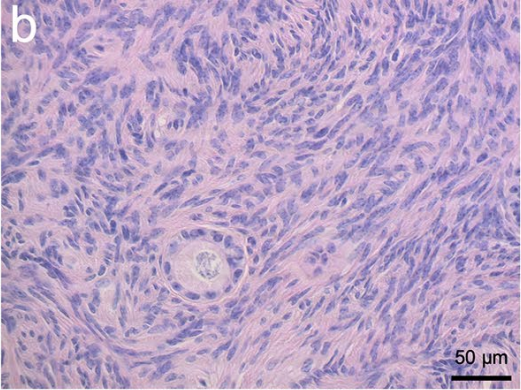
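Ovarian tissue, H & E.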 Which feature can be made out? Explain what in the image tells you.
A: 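Primary. A pale central cell with a round nucleus is enclosed by a ring of surrounding cells. The structure is larger than the stromal cell nuclei around it by several times.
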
